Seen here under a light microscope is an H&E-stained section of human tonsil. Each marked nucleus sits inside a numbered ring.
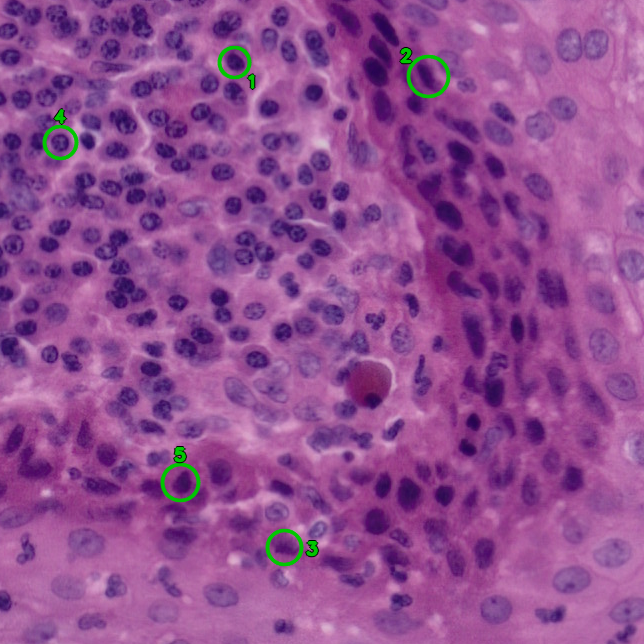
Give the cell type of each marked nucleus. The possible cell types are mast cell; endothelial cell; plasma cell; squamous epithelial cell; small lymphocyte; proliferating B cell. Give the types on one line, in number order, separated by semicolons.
plasma cell; squamous epithelial cell; squamous epithelial cell; plasma cell; squamous epithelial cell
